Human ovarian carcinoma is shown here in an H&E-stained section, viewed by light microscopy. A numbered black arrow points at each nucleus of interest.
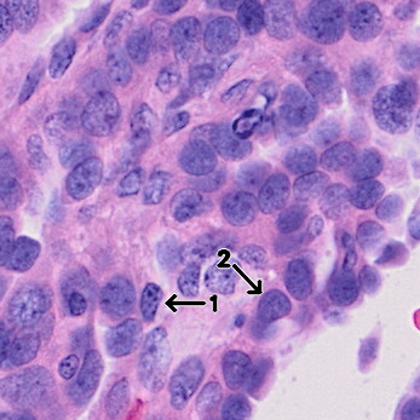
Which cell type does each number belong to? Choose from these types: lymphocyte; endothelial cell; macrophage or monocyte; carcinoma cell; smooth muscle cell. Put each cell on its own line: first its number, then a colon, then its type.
1: macrophage or monocyte
2: carcinoma cell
